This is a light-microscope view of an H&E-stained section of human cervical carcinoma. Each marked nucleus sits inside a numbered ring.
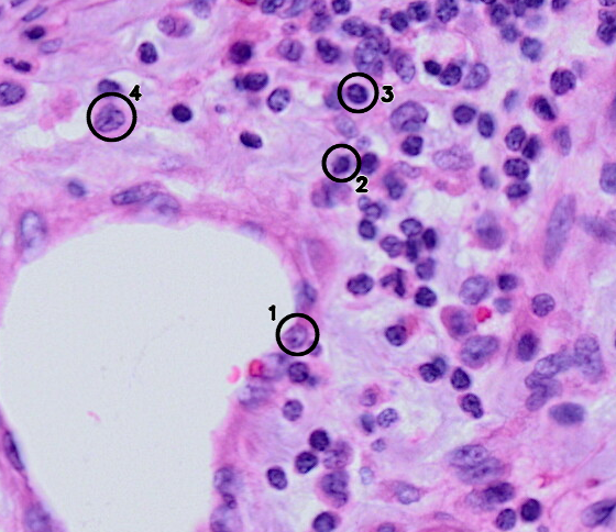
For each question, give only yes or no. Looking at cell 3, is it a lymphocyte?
yes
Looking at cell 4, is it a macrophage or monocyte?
yes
